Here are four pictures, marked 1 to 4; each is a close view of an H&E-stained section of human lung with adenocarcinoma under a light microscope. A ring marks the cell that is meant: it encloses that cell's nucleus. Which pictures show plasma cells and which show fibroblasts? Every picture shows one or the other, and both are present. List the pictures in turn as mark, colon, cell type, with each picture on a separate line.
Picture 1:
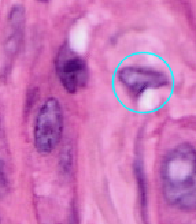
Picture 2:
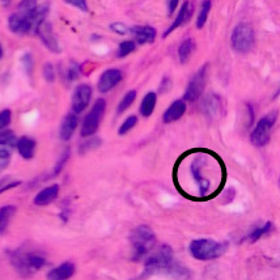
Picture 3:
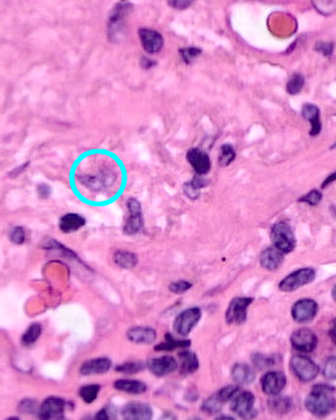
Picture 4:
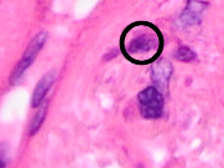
1: fibroblast
2: fibroblast
3: fibroblast
4: plasma cell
